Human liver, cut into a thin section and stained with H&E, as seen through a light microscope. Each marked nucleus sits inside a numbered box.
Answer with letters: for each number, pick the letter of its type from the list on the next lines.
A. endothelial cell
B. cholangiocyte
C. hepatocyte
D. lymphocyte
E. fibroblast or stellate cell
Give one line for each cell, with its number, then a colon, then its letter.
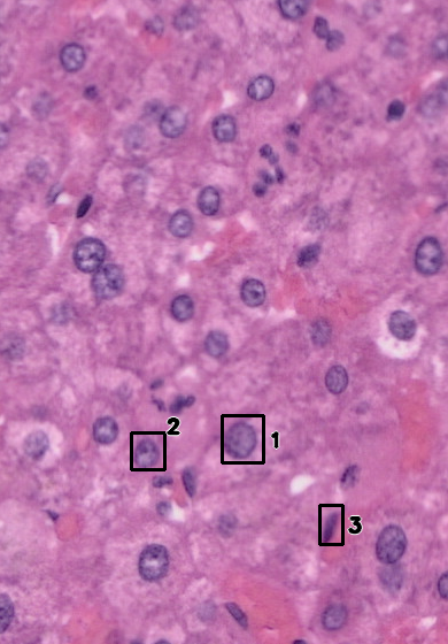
1: C
2: C
3: A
